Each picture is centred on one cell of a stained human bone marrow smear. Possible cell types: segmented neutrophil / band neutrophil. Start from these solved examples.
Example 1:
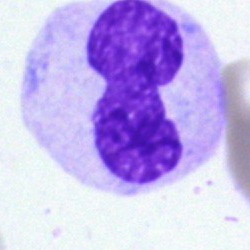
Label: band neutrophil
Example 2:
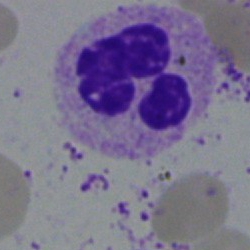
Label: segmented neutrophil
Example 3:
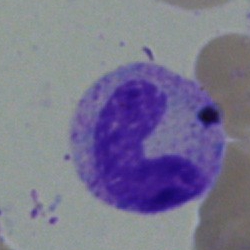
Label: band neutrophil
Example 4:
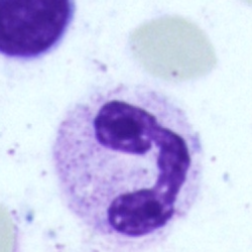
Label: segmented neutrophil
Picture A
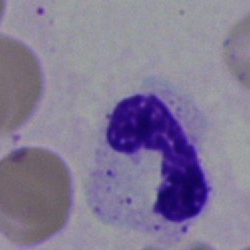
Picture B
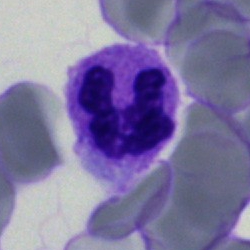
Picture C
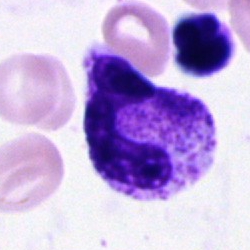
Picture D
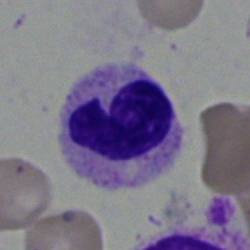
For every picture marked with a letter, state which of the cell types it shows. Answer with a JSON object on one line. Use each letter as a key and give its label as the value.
{"A": "band neutrophil", "B": "segmented neutrophil", "C": "segmented neutrophil", "D": "band neutrophil"}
